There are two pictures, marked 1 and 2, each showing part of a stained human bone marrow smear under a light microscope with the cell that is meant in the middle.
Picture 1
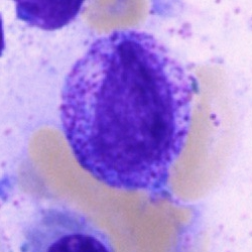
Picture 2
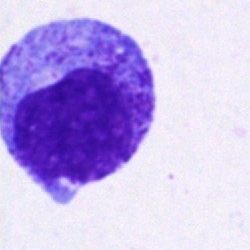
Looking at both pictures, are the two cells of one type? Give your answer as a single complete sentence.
No, the types are not the same, since picture 1 shows a myelocyte and picture 2 a promyelocyte.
